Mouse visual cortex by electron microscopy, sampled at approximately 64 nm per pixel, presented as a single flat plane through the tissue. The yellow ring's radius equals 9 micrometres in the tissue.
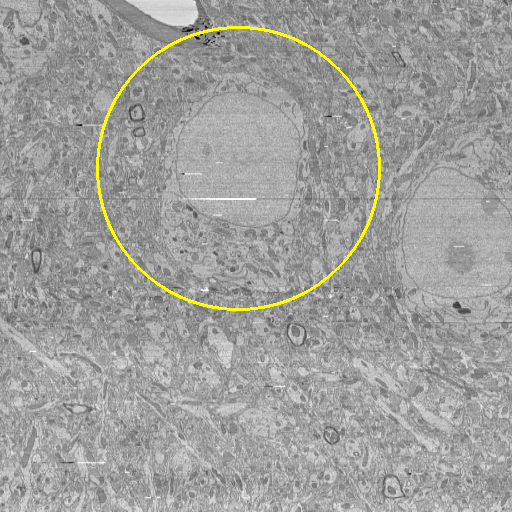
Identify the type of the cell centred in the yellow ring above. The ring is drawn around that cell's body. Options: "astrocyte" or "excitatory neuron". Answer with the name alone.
excitatory neuron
